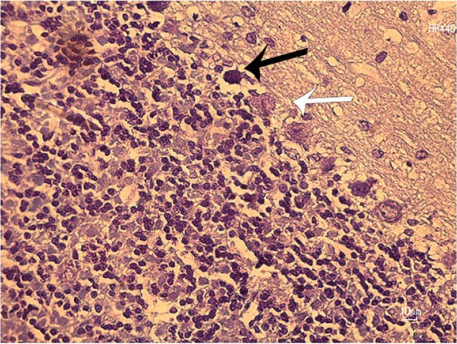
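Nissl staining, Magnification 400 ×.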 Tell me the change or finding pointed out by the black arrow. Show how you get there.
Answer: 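The marked cell is small, dark and condensed. It stains much darker than the large pale-nucleated cell nearby.
Hence: degenerated Purkinje cells.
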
